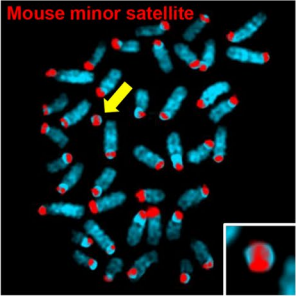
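Many condensed, rod-shaped chromosomes stained blue lie separately across the field. Nearly every one bears a bright red spot at one end. An arrow points to one small chromosome, shown enlarged in the inset, which is covered largely by a red spot.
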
